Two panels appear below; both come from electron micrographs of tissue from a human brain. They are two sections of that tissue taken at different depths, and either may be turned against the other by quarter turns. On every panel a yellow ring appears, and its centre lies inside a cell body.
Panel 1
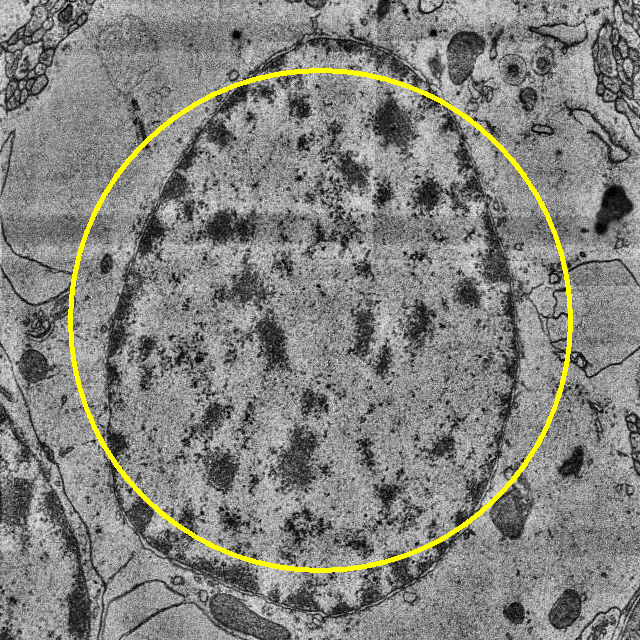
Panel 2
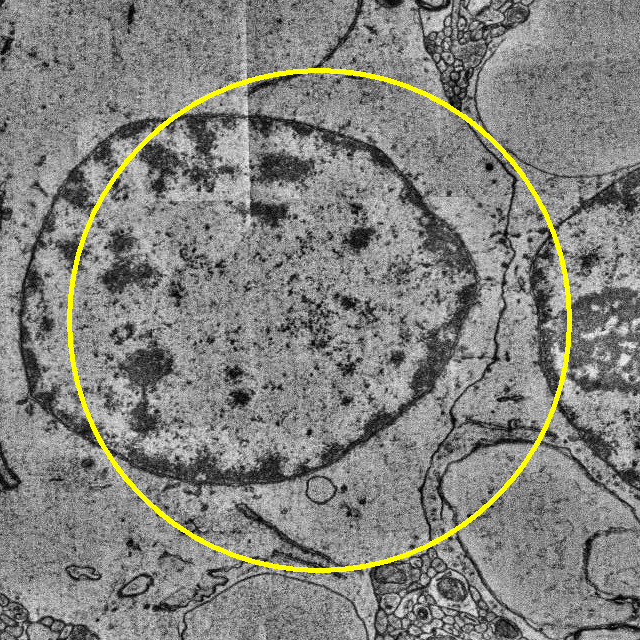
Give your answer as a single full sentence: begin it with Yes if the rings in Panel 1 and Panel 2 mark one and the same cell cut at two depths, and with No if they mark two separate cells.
No, the rings surround different cells rather than one cell.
